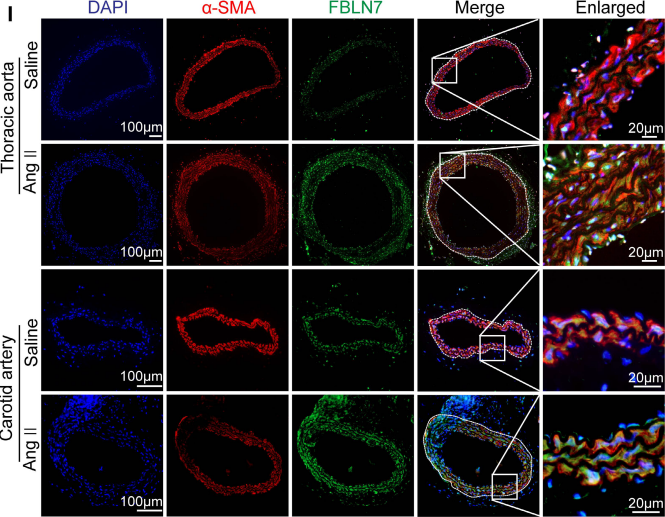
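Blue nuclei are scattered through the wall and in the tissue around it. Red and green label lie within the ring of the wall, and in the merged views the two colours overlap across its thickness. At high magnification the wall shows wavy, parallel bands, with elongated blue nuclei lying between them.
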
